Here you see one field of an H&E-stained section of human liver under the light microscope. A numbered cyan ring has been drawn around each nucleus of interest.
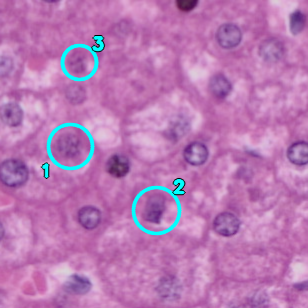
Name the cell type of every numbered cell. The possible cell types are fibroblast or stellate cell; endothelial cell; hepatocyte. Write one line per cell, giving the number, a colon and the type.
1: hepatocyte
2: endothelial cell
3: hepatocyte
